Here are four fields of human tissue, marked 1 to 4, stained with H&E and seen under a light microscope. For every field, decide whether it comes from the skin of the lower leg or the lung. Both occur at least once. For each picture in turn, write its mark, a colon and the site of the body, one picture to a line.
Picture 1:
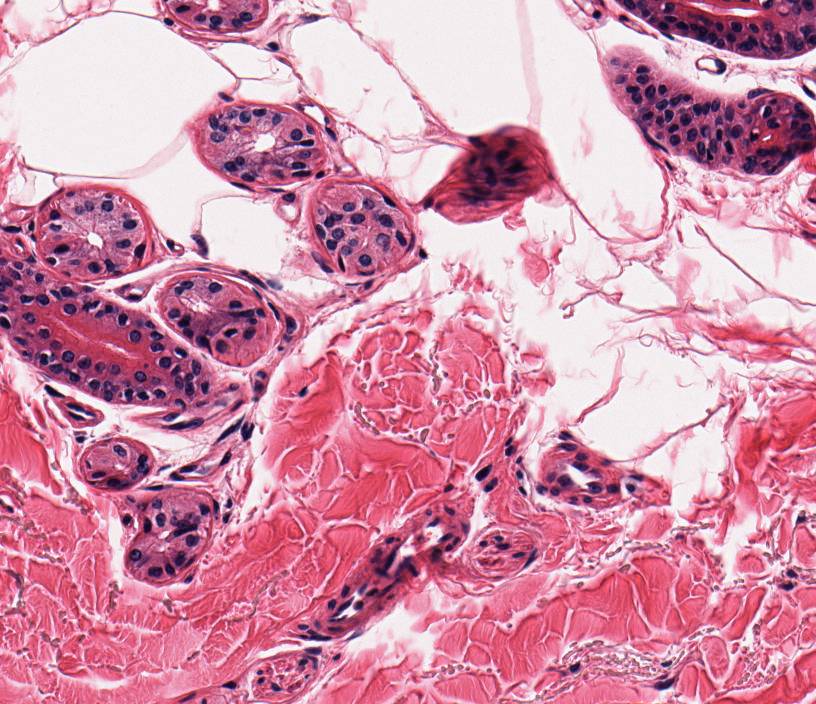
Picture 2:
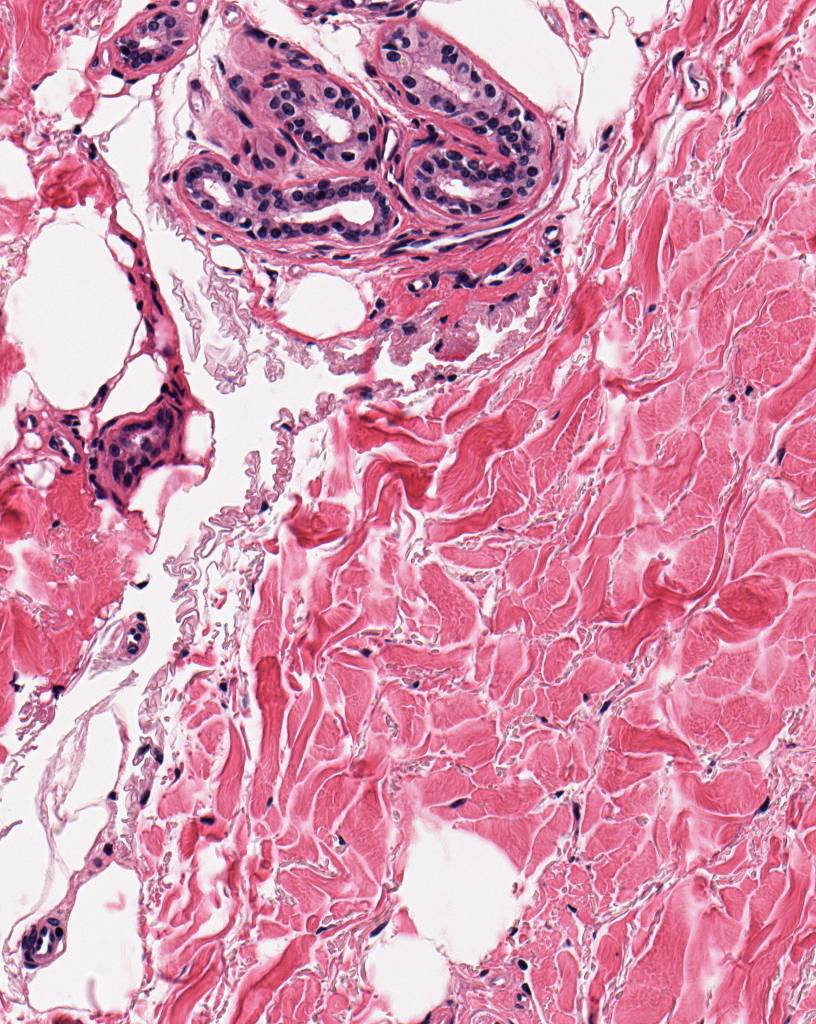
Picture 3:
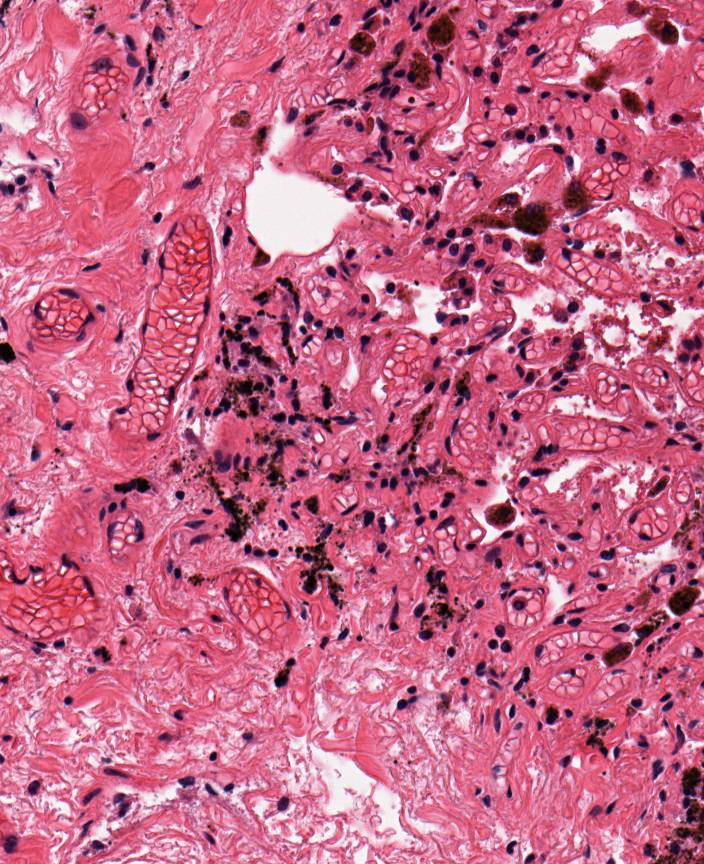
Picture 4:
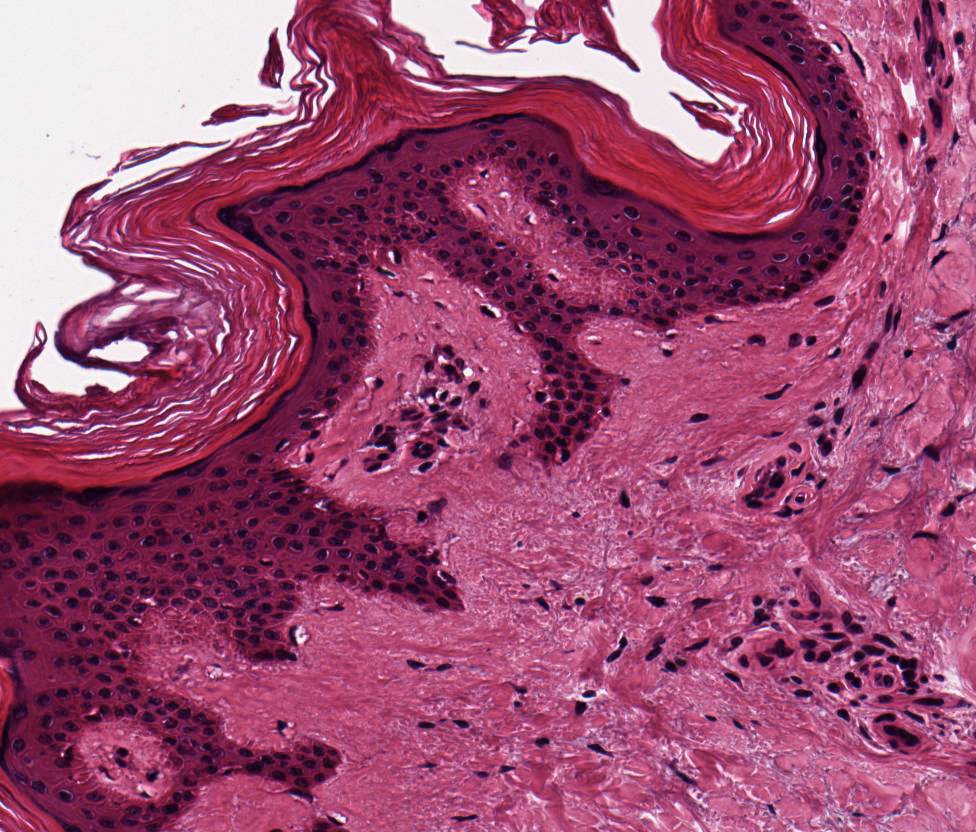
1: skin of the lower leg
2: skin of the lower leg
3: lung
4: skin of the lower leg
